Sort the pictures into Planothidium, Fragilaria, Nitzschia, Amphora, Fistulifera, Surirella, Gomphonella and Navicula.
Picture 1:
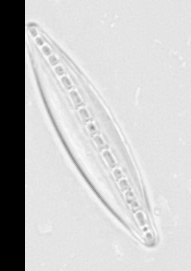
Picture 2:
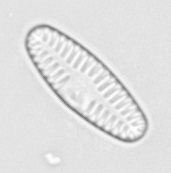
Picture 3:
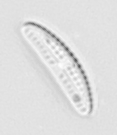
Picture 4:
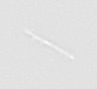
Nitzschia: 1
Planothidium: 2
Amphora: 3
Fistulifera: 4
